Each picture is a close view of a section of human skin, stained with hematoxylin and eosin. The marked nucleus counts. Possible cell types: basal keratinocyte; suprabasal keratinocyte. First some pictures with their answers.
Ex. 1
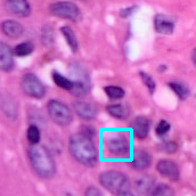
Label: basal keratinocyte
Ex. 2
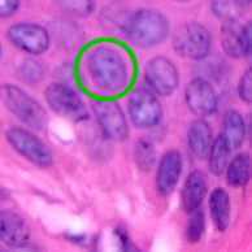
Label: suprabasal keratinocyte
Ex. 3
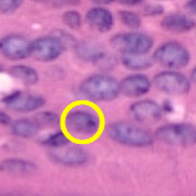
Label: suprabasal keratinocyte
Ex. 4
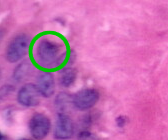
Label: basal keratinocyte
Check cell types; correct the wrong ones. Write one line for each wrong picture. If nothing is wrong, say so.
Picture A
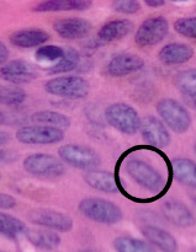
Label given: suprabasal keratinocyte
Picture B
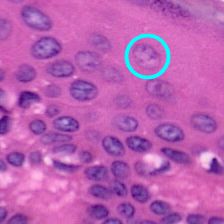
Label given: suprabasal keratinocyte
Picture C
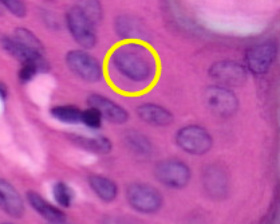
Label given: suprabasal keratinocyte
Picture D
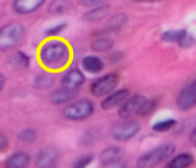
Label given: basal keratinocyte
D: suprabasal keratinocyte, not basal keratinocyte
